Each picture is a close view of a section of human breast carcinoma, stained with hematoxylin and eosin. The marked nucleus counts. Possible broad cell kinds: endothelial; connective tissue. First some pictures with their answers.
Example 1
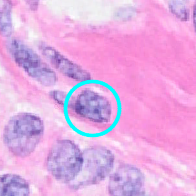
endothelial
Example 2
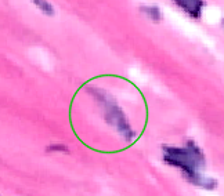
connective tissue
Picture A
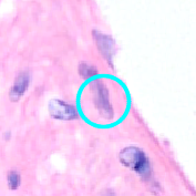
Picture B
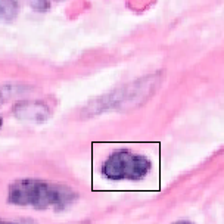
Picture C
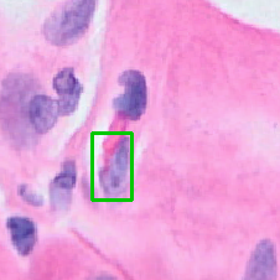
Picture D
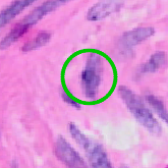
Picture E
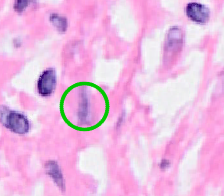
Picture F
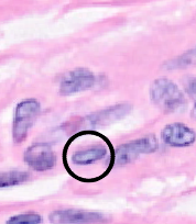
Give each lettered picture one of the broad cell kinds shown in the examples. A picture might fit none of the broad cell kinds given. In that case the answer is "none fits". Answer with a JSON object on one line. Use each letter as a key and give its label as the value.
{"A": "endothelial", "B": "none fits", "C": "endothelial", "D": "endothelial", "E": "connective tissue", "F": "endothelial"}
